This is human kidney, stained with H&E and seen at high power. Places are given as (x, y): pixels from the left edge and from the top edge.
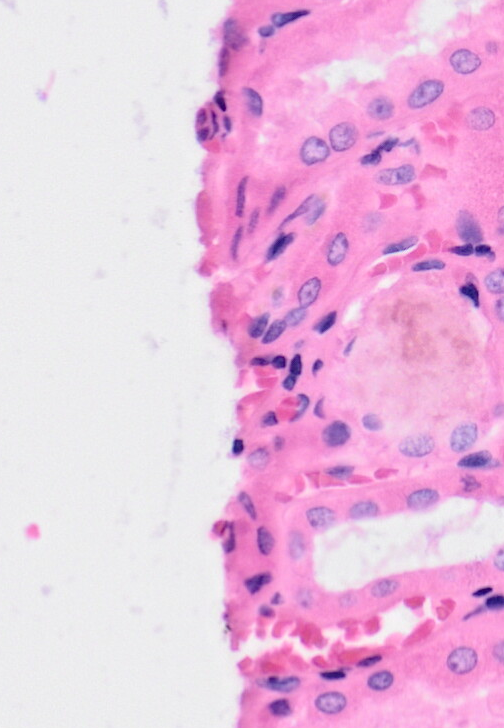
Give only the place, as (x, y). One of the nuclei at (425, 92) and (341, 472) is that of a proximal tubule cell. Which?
(425, 92)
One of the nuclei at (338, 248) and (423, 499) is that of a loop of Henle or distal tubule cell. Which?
(423, 499)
